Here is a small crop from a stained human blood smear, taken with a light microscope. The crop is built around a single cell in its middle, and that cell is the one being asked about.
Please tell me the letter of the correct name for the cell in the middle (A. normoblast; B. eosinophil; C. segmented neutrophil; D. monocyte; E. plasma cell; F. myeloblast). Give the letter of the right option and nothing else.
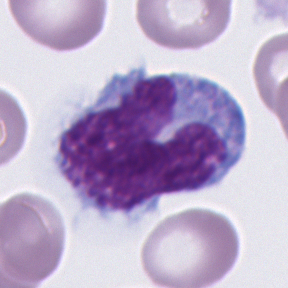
D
